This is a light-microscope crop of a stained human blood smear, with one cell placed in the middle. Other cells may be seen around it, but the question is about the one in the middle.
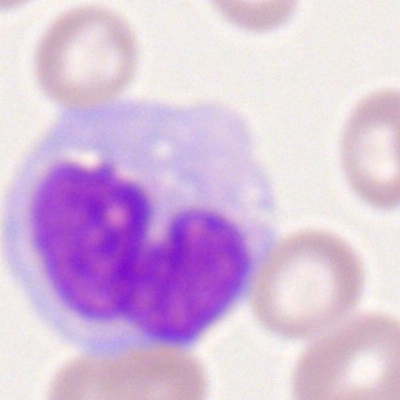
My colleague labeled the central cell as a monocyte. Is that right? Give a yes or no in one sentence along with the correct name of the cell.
Yes, the middle cell in this crop is a monocyte.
